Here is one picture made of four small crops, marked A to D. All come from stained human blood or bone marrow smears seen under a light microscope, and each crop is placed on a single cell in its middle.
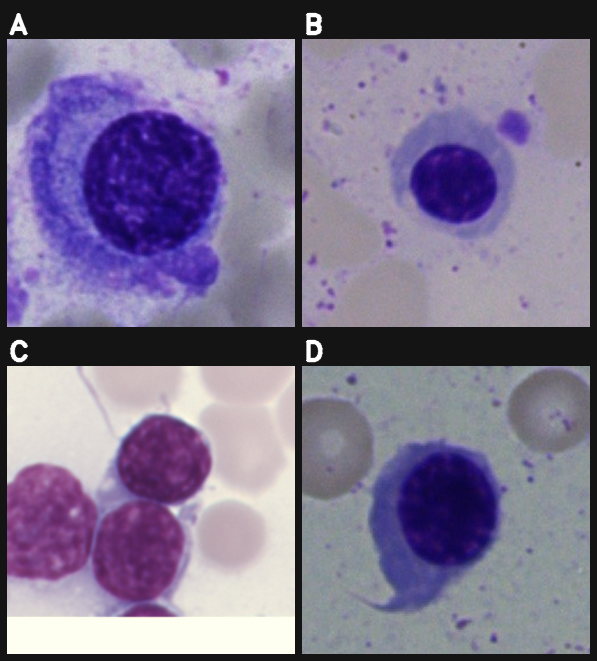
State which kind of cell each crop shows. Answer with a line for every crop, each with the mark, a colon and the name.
A: plasma cell
B: normoblast
C: blast
D: normoblast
